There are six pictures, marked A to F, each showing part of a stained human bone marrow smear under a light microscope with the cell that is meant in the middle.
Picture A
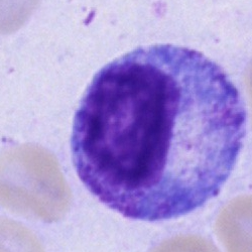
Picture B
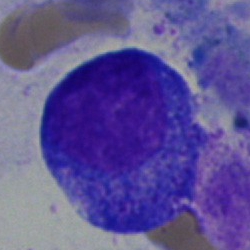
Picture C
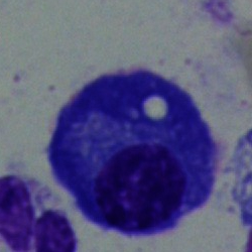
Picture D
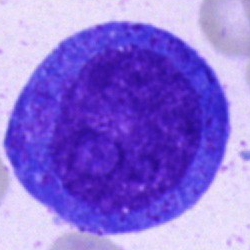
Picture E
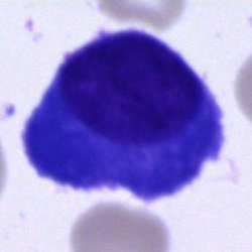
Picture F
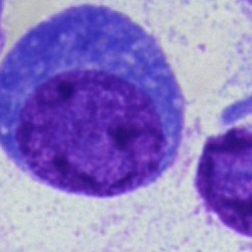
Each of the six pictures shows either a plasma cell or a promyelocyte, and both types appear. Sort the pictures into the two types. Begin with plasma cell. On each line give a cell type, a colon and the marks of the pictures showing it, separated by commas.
plasma cell: C, E, F
promyelocyte: A, B, D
